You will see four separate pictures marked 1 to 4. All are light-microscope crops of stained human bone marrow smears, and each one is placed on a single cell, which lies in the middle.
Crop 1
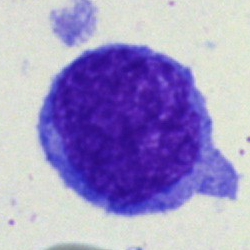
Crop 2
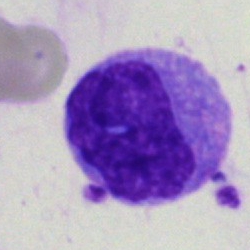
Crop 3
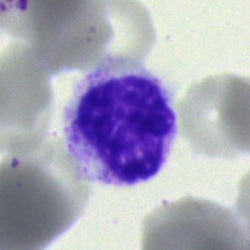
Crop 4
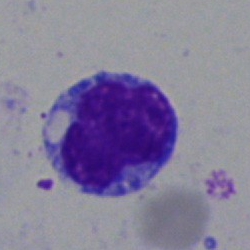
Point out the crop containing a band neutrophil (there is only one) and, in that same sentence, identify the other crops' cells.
The cell in crop 3 is a band neutrophil, while crop 1 is a blast, crop 2 is a monocyte and crop 4 is a lymphocyte.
